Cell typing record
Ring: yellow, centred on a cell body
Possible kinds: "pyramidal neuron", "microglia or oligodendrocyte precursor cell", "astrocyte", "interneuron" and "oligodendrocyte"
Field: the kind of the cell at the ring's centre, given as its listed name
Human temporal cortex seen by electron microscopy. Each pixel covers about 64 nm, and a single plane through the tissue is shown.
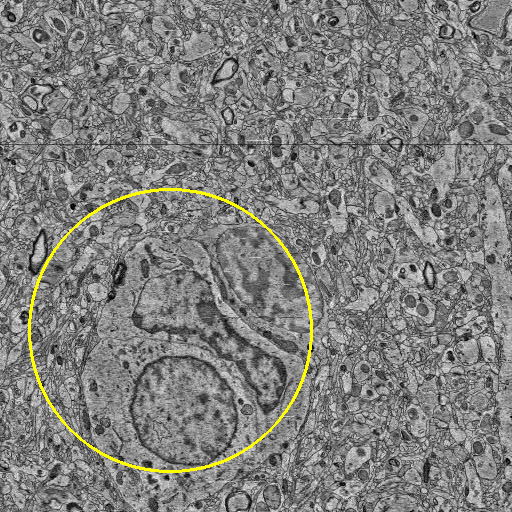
microglia or oligodendrocyte precursor cell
